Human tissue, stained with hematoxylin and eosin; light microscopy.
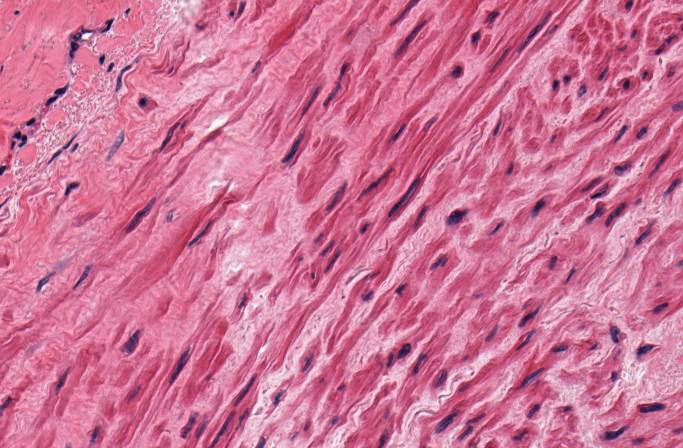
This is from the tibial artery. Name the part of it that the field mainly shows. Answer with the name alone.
tunica media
